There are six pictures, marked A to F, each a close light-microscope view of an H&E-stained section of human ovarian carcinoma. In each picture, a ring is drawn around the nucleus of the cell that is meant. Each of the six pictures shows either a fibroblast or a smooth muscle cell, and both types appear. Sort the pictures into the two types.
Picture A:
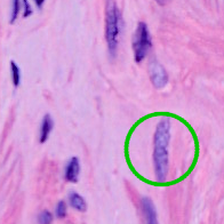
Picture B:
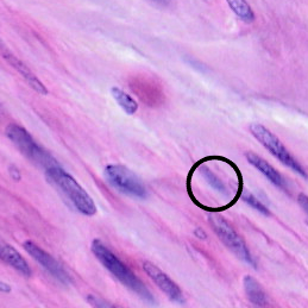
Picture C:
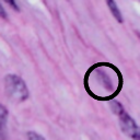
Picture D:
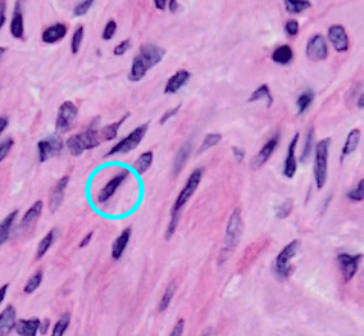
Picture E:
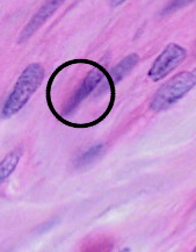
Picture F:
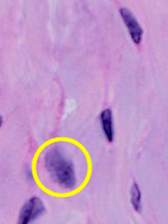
A: smooth muscle cell
B: smooth muscle cell
C: fibroblast
D: smooth muscle cell
E: smooth muscle cell
F: fibroblast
